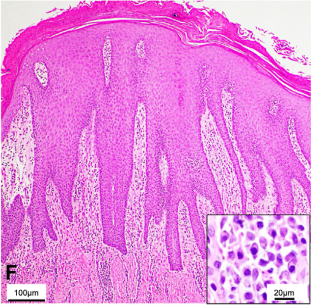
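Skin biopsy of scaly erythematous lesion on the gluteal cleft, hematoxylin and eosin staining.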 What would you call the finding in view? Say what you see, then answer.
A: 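Epidermis is very thick with long, regular downward rete ridges. Ridges extend deep into the dermis.
Answer: thickening of the epidermis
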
